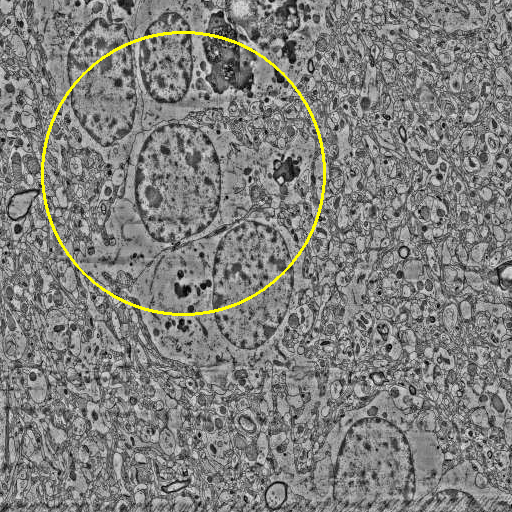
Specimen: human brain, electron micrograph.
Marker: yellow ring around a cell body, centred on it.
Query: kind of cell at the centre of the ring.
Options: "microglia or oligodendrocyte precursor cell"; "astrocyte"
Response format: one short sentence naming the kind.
This cell body belongs to an astrocyte.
